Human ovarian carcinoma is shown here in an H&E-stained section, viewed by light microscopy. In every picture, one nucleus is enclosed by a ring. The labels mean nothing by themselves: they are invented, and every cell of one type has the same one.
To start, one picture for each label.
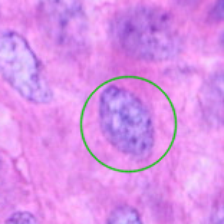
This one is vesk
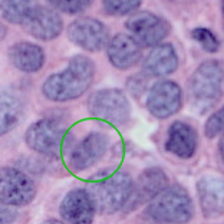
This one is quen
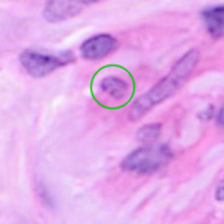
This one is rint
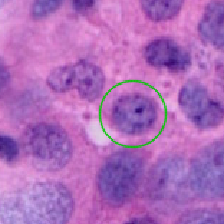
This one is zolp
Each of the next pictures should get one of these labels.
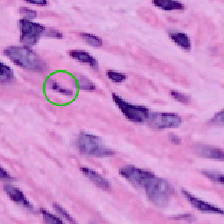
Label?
rint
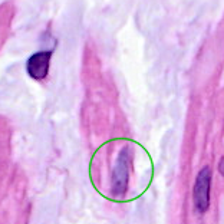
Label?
rint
